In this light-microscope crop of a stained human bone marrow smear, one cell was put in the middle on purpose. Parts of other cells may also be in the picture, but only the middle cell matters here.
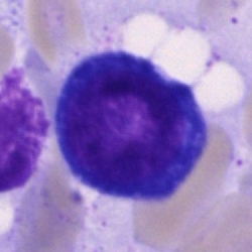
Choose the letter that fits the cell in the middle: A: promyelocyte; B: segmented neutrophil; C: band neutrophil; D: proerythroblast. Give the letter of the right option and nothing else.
D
